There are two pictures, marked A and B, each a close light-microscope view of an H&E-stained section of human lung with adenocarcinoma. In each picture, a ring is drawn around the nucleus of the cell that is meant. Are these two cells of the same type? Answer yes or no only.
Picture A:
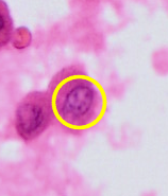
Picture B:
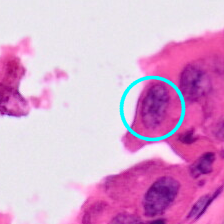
no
